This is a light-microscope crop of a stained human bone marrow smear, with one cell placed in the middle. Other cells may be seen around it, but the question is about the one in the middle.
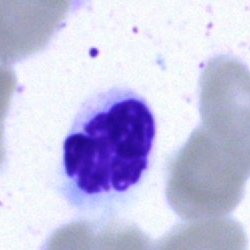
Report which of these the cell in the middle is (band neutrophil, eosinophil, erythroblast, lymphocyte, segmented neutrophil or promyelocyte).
segmented neutrophil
